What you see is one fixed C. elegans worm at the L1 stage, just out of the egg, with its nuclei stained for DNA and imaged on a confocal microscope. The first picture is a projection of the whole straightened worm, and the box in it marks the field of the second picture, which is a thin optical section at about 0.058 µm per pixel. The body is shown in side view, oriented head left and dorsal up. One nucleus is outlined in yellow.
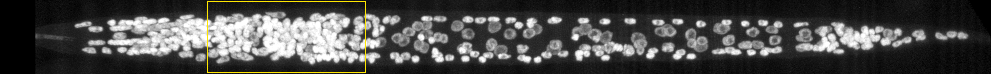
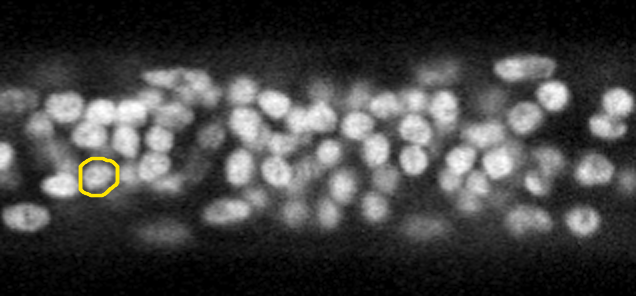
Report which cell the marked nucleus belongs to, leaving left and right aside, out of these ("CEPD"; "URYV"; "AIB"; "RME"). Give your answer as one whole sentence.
The nucleus is from URYV, a neuron.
